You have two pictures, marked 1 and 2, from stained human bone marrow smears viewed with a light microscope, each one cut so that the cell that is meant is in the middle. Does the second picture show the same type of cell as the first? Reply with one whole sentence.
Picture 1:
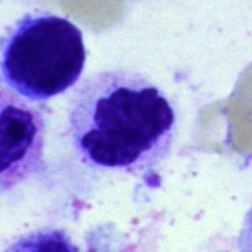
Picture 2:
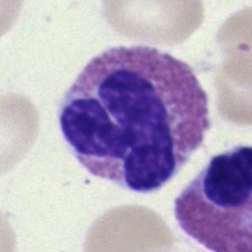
No; the cell in picture 1 is a segmented neutrophil, while the one in picture 2 is an eosinophil.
